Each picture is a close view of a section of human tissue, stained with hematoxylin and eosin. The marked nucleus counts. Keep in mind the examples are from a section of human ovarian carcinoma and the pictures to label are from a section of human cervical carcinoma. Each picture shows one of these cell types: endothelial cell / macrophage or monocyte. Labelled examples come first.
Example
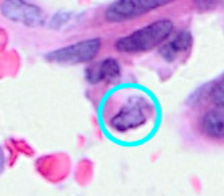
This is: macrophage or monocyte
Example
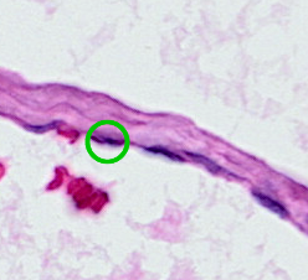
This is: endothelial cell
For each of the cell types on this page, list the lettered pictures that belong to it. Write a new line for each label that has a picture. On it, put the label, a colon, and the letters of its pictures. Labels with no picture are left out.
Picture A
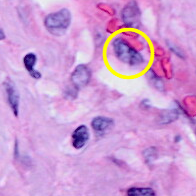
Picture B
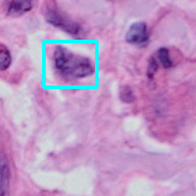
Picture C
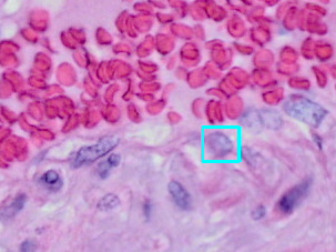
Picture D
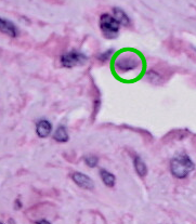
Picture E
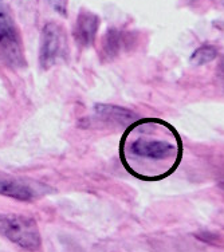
endothelial cell: A, C, D
macrophage or monocyte: B, E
